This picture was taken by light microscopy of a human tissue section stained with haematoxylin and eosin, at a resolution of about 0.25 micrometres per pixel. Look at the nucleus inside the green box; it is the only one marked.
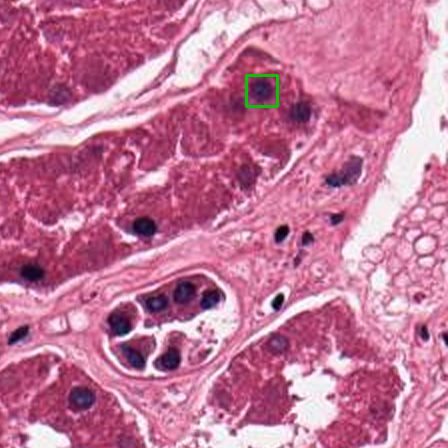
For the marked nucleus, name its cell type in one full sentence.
The mark in this picture falls on the nucleus of a proximal tubule cell.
